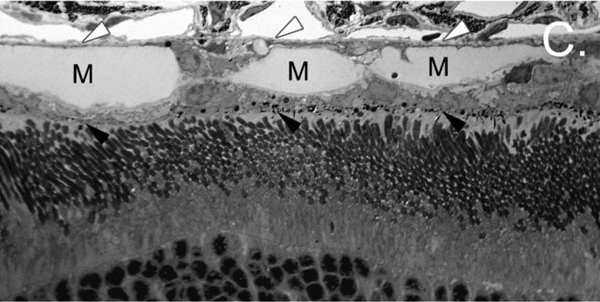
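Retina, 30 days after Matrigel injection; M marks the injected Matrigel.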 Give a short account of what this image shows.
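At the top run a few vessels and cells with dark nuclei, bounded below by a fine membrane. Beneath it lie several large, pale, smooth-walled spaces filled with homogeneous material. Under these spaces runs a thin cell layer scattered with small black pigment granules. Directly below this pigmented layer is a broad band of tightly packed, dark-staining photoreceptor segments, and deeper still a paler band and then the rounded, dark nuclei of the outer nuclear layer.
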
